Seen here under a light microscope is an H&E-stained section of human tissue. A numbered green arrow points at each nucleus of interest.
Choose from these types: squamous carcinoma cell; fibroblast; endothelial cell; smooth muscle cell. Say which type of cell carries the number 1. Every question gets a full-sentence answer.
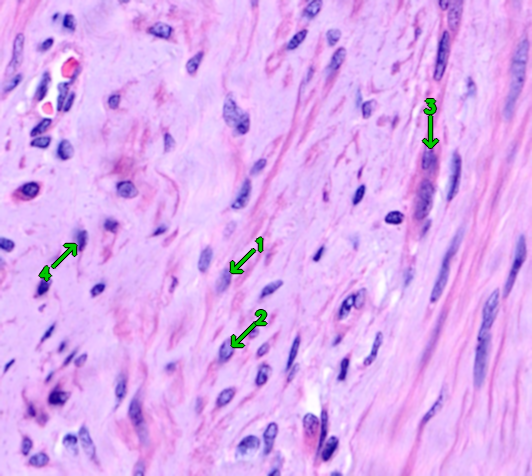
Classified as a smooth muscle cell is the cell with the number 1.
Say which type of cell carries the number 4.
The cell whose nucleus carries the number 4 is a fibroblast.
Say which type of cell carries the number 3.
The cell bearing label 3 corresponds to an endothelial cell.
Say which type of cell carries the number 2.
The nucleus with number 2 is that of a smooth muscle cell.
